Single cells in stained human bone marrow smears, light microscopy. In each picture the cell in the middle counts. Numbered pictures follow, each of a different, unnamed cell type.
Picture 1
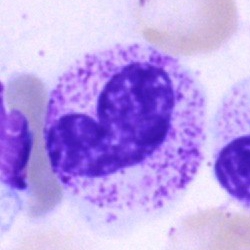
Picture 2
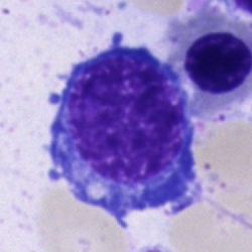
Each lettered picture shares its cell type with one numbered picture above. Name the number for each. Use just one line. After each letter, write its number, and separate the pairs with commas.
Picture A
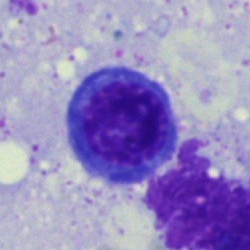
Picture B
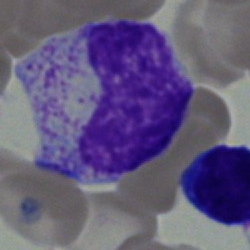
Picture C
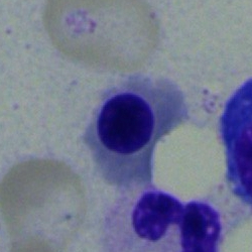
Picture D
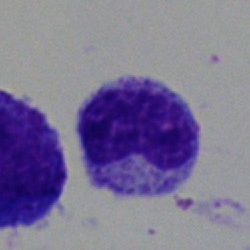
A 2, B 1, C 2, D 1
